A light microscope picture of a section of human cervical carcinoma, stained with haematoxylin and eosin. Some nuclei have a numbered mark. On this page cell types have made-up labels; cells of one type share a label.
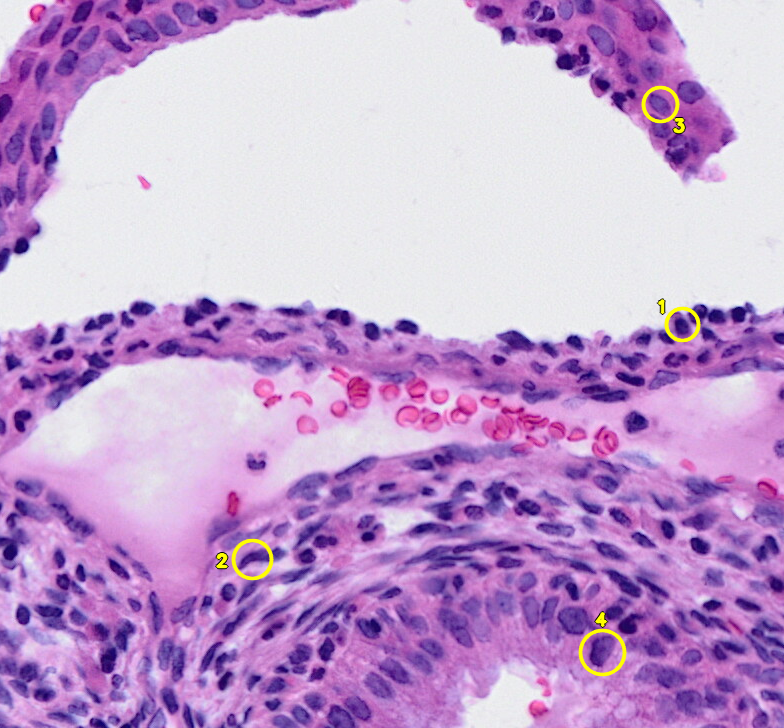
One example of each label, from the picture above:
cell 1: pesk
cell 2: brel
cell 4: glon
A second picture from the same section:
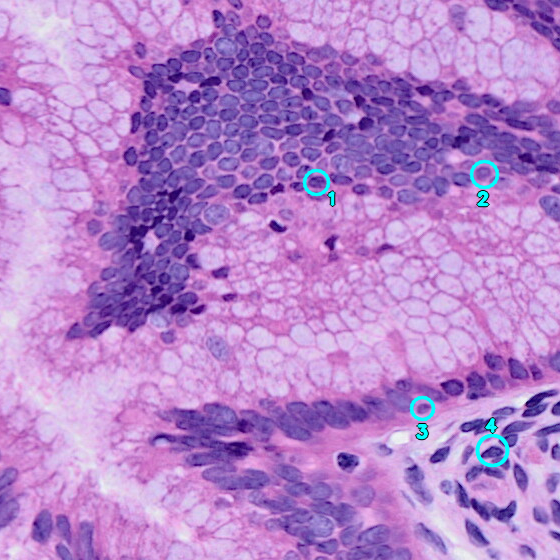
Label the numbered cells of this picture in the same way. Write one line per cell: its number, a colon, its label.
1: glon
2: glon
3: glon
4: brel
